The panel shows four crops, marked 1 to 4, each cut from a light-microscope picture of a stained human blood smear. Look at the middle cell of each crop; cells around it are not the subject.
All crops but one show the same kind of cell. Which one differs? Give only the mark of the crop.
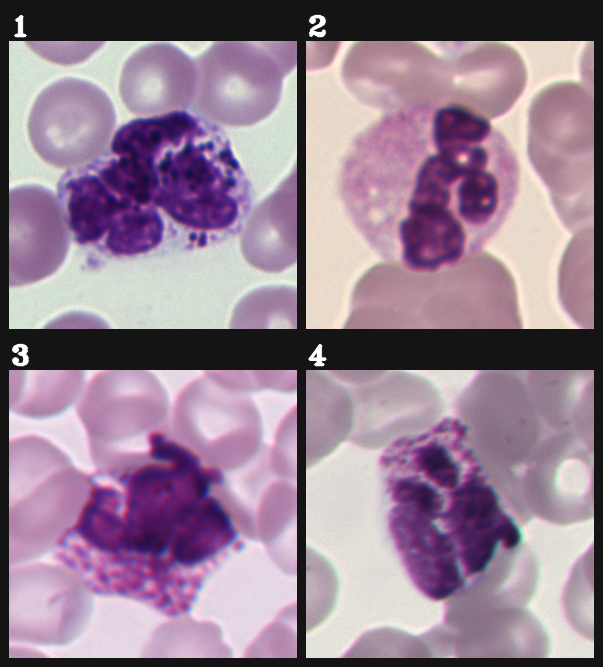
2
